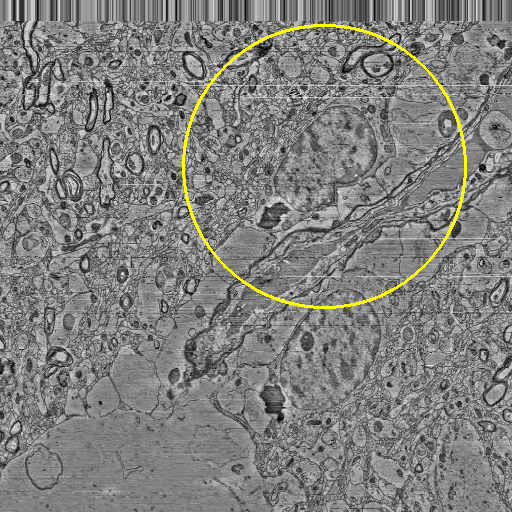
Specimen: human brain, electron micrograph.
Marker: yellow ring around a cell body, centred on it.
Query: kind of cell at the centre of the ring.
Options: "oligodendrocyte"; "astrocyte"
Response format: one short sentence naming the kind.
This cell body belongs to an oligodendrocyte.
